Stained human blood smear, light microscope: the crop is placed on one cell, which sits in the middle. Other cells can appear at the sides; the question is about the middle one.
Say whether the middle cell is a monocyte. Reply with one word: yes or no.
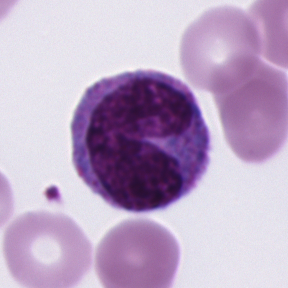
yes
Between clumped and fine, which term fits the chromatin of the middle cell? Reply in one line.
This nucleus has coarsely clumped chromatin.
